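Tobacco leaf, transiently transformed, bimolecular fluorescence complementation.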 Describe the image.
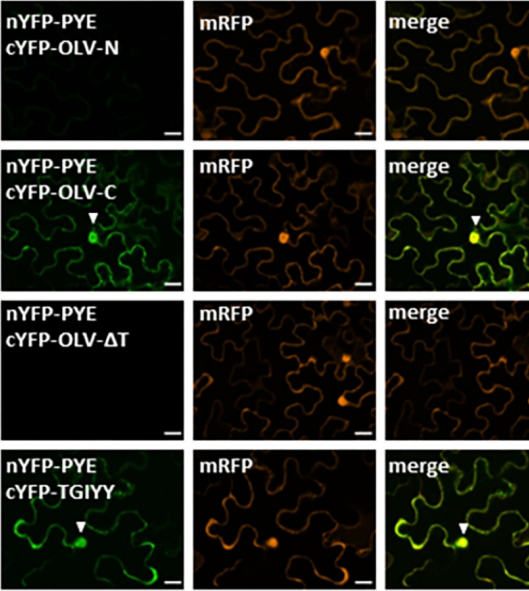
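Fluorescence outlines each cell as a thin band along the periphery, where cytoplasm is pressed against the wall by a large central vacuole that stays dark. The orange signal outlines cells and nuclei in all fields; the green signal is absent in some fields and present in others, where it traces the cell periphery and fills a nucleus marked by a white arrowhead, appearing yellow where the two colours overlap.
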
